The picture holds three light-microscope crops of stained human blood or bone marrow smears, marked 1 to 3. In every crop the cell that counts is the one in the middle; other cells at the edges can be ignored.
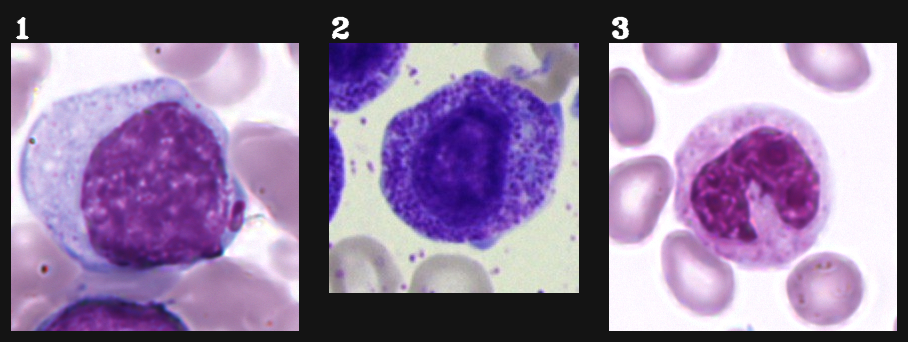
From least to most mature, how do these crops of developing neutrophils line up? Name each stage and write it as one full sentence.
From earliest stage to latest stage, the sequence is crop 1 (a promyelocyte), crop 2 (a myelocyte) and crop 3 (a band neutrophil).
